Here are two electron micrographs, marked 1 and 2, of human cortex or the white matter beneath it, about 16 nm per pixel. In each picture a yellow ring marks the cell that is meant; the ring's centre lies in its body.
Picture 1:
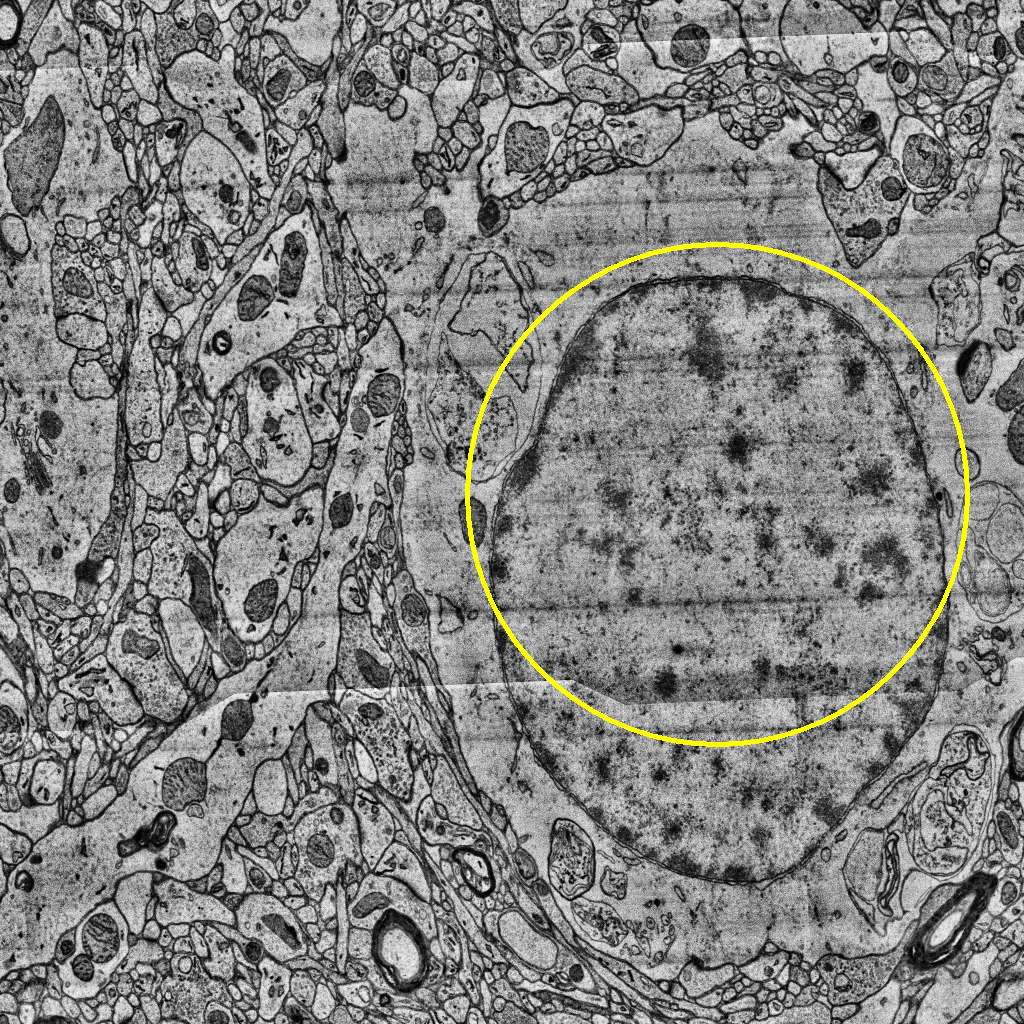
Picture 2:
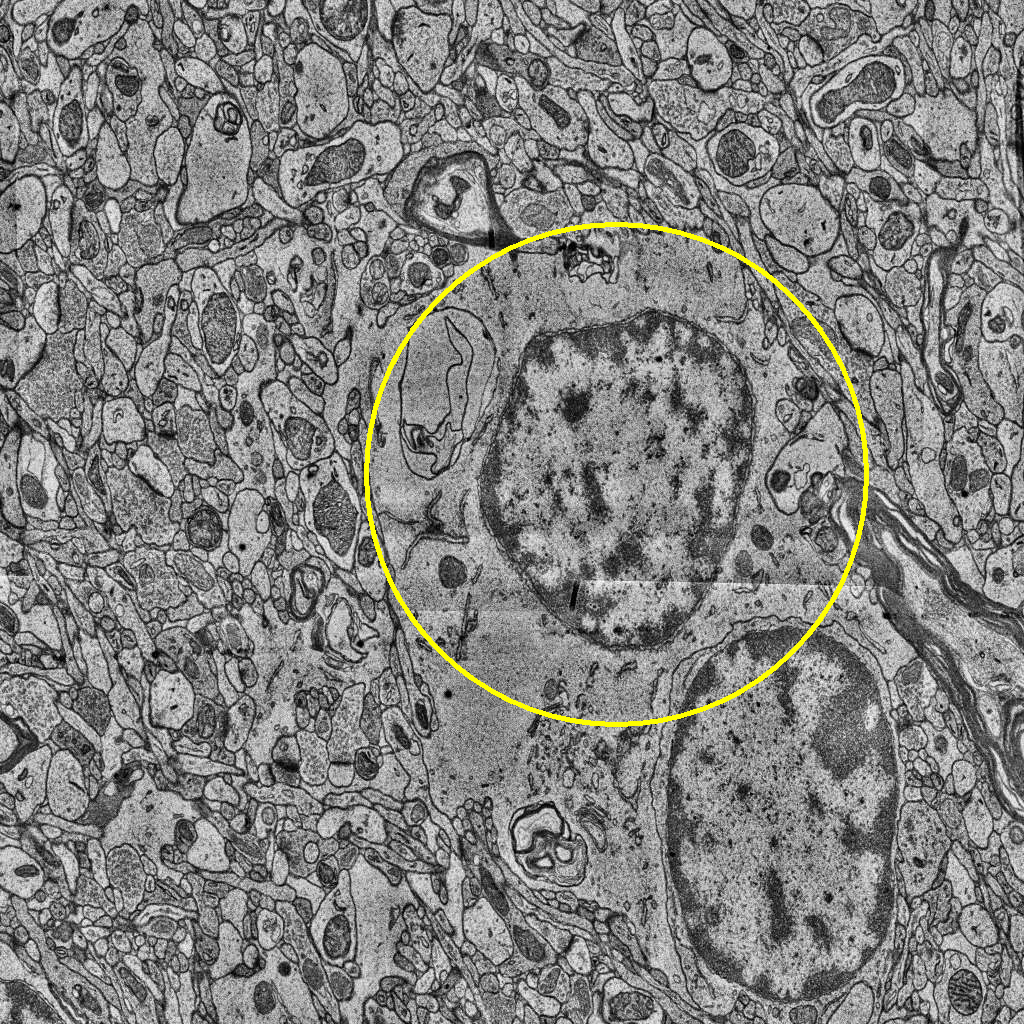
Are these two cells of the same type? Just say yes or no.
yes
